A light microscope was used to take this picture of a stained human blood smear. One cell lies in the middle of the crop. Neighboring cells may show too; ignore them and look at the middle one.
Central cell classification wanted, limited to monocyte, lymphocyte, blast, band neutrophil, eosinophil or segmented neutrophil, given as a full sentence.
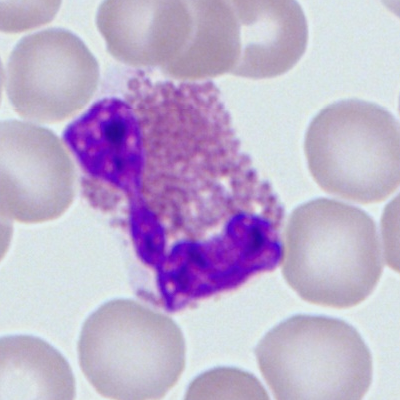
In the crop, the cell of interest at the centre is an eosinophil.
